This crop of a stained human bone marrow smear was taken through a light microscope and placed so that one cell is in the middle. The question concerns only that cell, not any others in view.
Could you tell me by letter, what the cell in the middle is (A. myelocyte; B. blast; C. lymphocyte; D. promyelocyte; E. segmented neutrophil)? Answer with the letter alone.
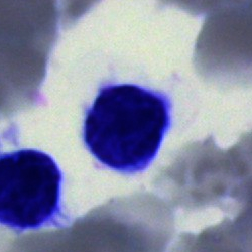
C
